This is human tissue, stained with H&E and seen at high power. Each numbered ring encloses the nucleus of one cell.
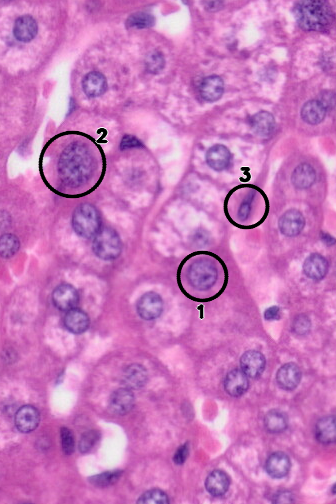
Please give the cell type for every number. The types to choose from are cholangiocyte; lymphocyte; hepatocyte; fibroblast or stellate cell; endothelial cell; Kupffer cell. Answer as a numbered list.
1. hepatocyte
2. hepatocyte
3. Kupffer cell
